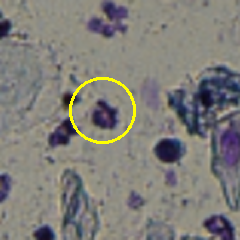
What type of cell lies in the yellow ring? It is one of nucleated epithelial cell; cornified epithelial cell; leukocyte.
The ringed cell is a leukocyte.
